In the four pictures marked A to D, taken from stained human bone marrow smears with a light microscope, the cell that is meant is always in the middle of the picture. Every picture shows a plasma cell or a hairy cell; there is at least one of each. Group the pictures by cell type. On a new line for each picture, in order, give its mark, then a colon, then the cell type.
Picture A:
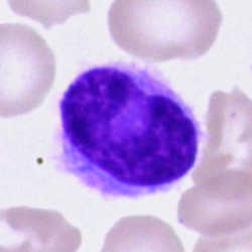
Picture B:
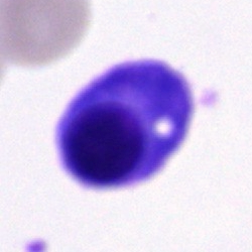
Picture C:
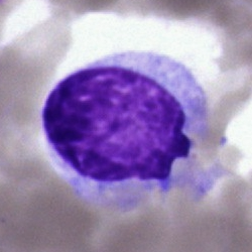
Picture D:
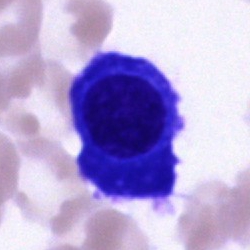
A: hairy cell
B: plasma cell
C: hairy cell
D: plasma cell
